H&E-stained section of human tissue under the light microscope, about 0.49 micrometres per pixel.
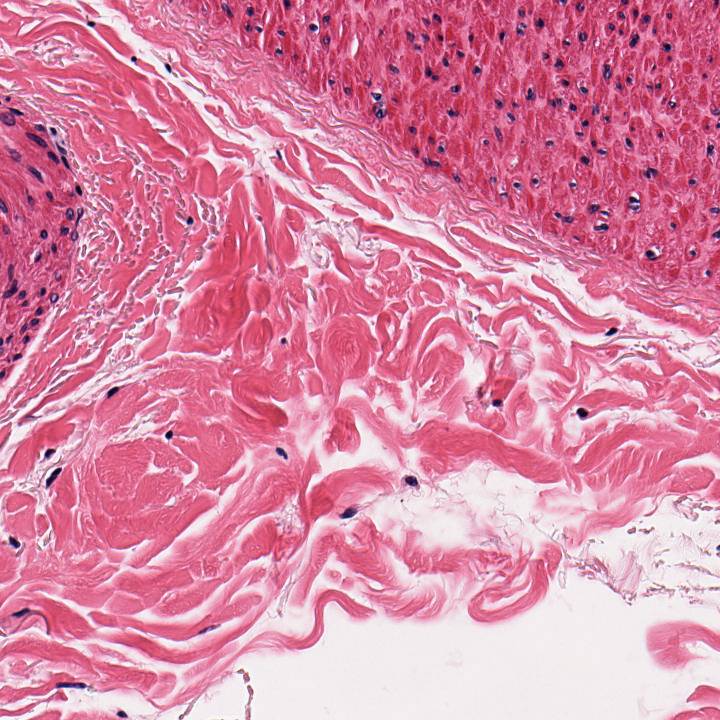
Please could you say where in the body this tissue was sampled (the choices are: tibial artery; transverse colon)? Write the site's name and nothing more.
tibial artery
